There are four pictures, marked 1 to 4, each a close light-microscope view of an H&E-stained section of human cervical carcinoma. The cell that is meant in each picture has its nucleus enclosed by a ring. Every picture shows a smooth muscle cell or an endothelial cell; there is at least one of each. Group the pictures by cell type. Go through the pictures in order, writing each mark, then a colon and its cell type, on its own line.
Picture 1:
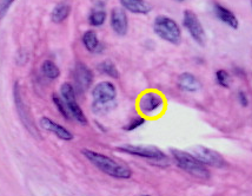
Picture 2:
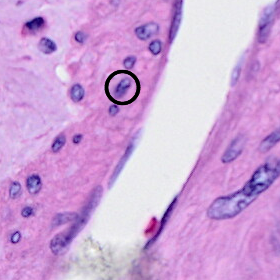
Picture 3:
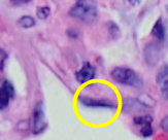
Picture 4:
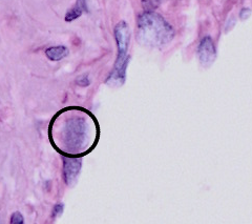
1: endothelial cell
2: smooth muscle cell
3: endothelial cell
4: endothelial cell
